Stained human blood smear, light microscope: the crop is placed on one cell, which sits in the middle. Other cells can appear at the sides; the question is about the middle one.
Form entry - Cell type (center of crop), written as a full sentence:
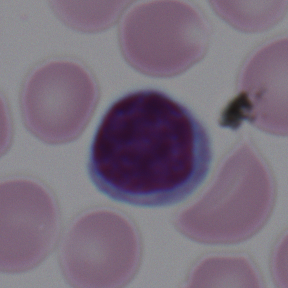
The cell of interest, in the center, is a lymphocyte.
